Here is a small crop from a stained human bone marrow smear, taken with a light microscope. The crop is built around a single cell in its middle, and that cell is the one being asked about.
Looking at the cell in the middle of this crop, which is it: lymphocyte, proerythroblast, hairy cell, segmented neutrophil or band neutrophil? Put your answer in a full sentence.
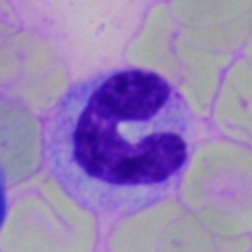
Classified as a band neutrophil is the cell in the middle of this crop.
